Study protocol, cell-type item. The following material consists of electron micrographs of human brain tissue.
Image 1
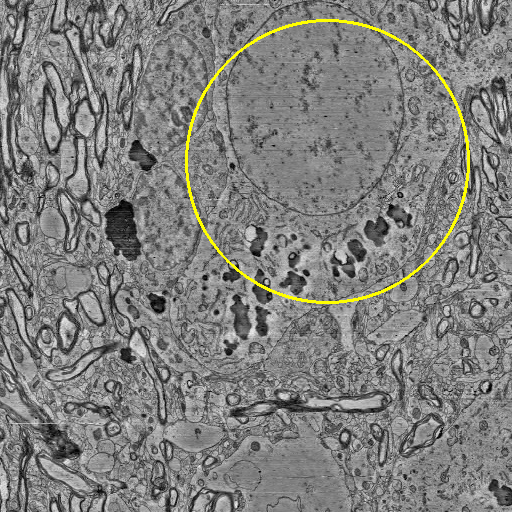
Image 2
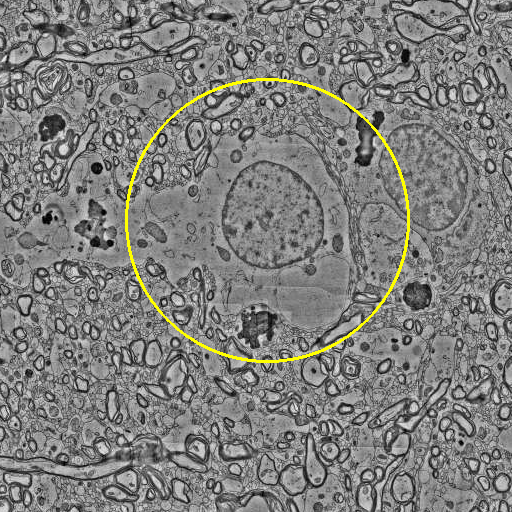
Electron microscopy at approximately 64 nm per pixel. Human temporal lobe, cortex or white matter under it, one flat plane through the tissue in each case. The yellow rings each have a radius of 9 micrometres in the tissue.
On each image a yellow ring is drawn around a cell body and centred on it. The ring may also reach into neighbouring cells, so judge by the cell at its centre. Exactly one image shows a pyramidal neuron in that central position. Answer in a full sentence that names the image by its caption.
The cell at the centre of the ring in Image 1 is of that kind.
